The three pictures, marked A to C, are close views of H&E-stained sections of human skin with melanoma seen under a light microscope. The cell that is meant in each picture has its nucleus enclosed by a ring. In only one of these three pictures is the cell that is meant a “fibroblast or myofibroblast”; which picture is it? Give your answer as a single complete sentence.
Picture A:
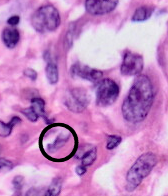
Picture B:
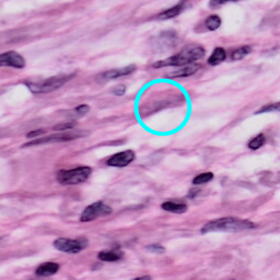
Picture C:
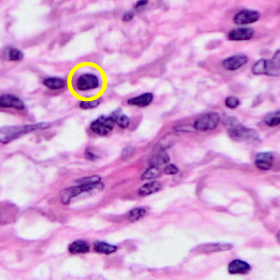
Picture B is the one that shows the “fibroblast or myofibroblast”.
